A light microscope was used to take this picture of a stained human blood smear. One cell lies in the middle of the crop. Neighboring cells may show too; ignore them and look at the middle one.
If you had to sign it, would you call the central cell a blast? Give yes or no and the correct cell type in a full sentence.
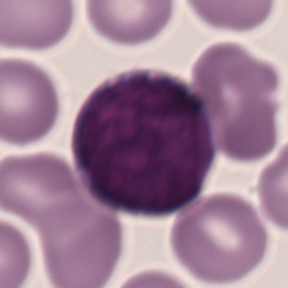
Yes, the cell shown at the crop's centre is a blast.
